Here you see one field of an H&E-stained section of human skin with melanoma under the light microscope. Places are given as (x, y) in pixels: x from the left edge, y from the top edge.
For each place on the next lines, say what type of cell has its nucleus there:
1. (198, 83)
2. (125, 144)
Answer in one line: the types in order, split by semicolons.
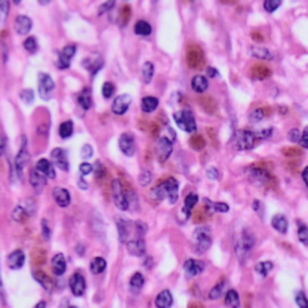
plasma cell; lymphocyte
